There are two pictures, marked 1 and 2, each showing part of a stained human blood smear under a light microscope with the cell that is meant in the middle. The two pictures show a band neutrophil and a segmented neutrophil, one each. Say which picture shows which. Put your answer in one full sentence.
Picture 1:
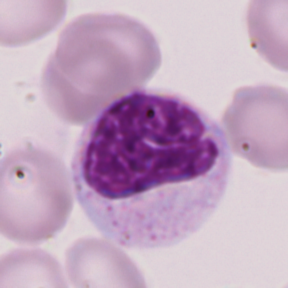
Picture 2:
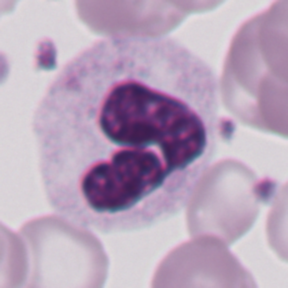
Picture 2 shows a segmented neutrophil, while picture 1 shows a band neutrophil.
